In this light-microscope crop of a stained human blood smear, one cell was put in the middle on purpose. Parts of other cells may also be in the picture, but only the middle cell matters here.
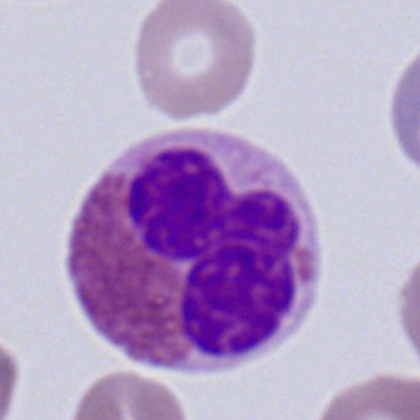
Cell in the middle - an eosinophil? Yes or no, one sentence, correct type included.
Yes, the crop's central cell is an eosinophil.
